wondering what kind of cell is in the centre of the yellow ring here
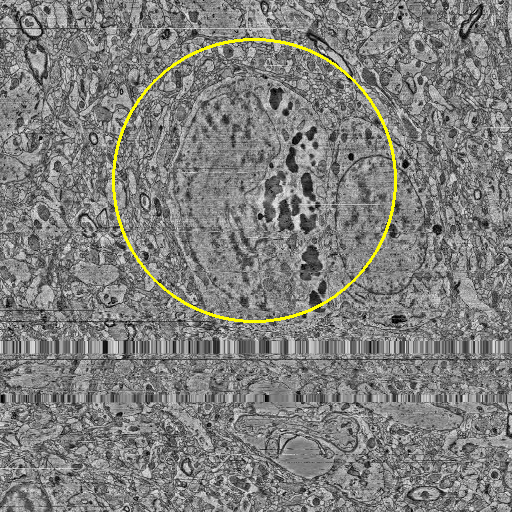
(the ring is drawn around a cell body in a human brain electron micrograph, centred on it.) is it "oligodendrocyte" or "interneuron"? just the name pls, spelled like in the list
interneuron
